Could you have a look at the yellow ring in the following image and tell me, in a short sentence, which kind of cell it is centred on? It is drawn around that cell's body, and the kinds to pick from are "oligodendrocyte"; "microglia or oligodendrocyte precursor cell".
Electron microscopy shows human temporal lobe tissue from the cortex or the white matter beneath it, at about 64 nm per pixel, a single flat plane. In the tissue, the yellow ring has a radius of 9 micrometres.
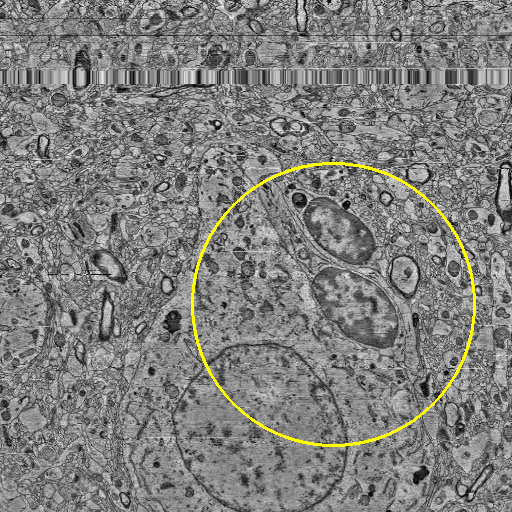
The ring is centred on the body of a microglial cell or oligodendrocyte precursor cell.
